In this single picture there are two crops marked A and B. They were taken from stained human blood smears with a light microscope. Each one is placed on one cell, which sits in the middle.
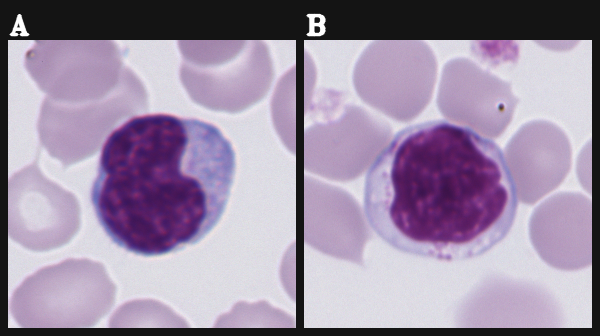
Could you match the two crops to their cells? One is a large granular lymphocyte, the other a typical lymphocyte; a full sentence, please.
It is a typical lymphocyte that crop A shows, and a large granular lymphocyte that crop B shows.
